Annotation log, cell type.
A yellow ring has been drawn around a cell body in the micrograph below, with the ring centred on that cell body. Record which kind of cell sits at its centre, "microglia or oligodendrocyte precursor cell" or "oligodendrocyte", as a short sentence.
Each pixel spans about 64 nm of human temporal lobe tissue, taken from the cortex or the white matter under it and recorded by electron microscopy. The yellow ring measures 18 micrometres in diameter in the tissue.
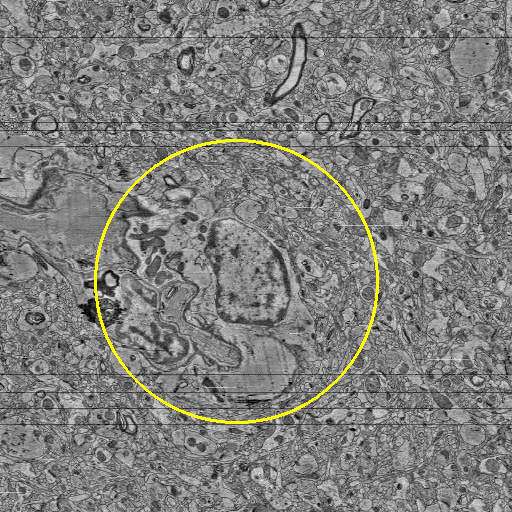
The cell at the centre of this ring is a microglial cell or oligodendrocyte precursor cell.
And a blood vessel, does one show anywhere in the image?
Yes, one shows.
